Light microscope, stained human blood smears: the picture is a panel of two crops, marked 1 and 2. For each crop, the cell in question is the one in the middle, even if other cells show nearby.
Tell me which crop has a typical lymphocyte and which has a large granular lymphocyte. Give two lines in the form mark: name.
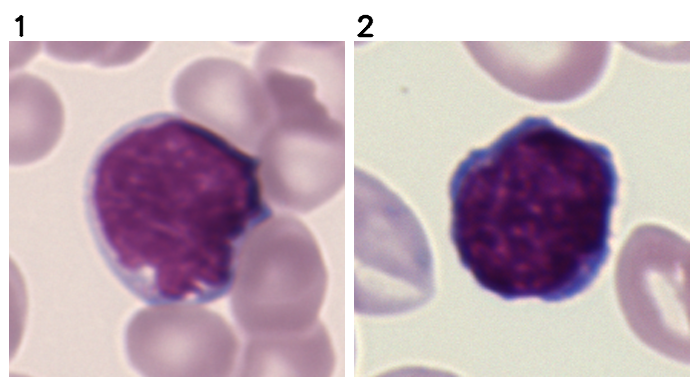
1: large granular lymphocyte
2: typical lymphocyte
